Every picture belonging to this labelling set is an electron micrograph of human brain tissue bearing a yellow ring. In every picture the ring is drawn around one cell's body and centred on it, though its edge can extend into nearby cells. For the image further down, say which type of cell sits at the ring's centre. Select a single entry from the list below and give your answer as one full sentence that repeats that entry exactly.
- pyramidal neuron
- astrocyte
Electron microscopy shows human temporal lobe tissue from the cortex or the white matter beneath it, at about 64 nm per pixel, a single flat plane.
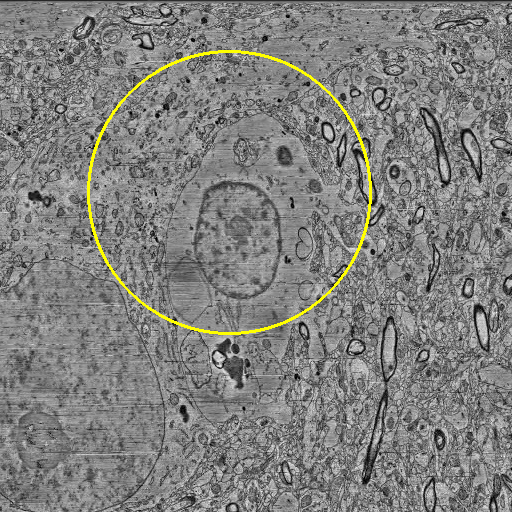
In the picture, an astrocyte is the cell at the centre of the yellow ring.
